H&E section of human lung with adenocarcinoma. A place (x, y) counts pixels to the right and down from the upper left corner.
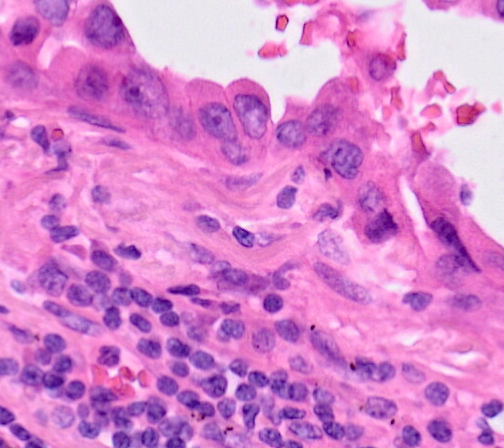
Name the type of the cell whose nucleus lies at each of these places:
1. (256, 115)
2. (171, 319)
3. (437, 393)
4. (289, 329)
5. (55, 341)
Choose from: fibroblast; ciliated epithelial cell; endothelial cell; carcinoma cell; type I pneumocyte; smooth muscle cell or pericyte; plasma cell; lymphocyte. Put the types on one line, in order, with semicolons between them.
carcinoma cell; lymphocyte; lymphocyte; plasma cell; lymphocyte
